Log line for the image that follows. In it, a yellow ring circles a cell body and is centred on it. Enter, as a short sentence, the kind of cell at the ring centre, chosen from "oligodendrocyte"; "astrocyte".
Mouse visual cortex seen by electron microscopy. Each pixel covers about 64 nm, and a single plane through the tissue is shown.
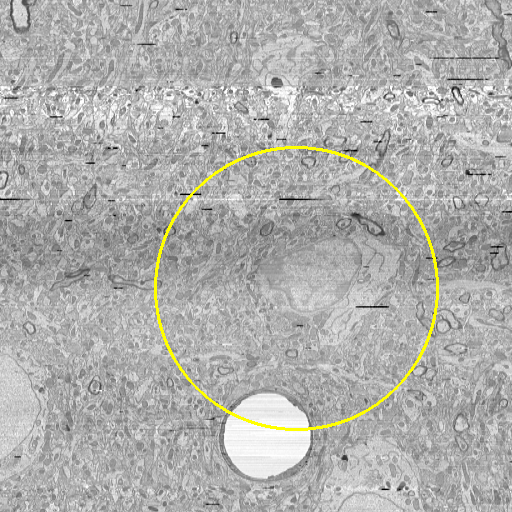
The ring centre is occupied by an oligodendrocyte.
